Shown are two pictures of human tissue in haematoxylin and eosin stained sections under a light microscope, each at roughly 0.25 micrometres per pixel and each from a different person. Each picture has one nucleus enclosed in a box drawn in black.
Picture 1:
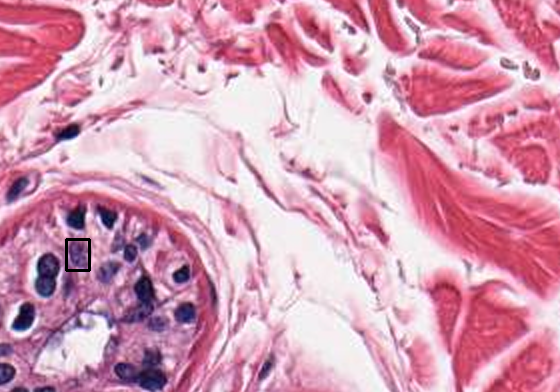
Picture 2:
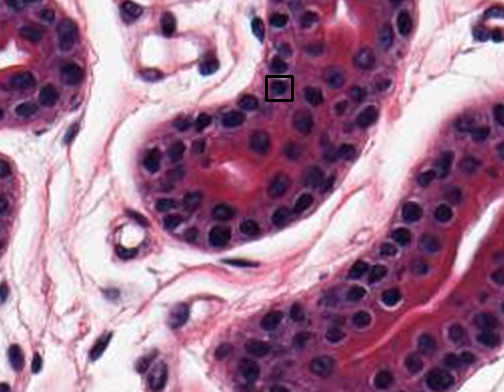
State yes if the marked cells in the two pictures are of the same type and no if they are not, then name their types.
Yes, both are sweat gland cells.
